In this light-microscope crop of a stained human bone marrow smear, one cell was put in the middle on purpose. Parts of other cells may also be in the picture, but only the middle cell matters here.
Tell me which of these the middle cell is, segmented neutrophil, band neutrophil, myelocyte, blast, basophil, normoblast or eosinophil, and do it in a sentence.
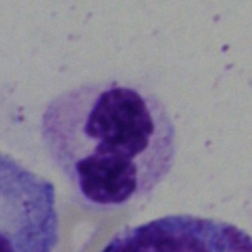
The cell at the central position in this crop is a segmented neutrophil.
